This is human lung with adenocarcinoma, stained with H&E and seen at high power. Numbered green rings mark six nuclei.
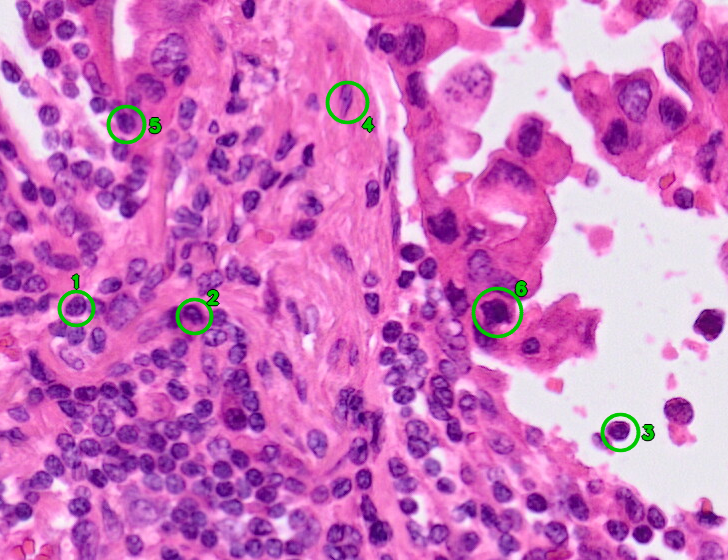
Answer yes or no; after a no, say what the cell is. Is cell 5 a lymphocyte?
Yes.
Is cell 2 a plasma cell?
Yes.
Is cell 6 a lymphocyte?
No, it is a carcinoma cell.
